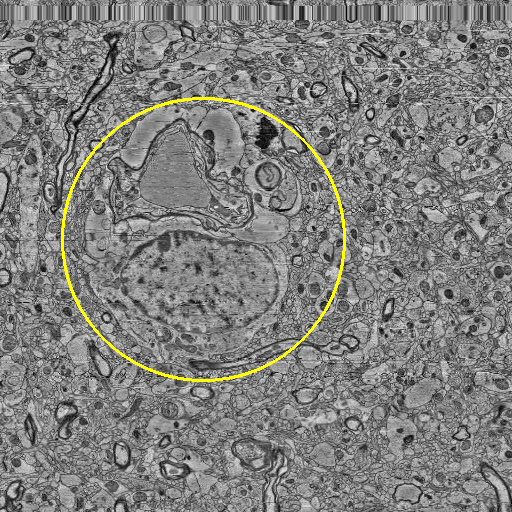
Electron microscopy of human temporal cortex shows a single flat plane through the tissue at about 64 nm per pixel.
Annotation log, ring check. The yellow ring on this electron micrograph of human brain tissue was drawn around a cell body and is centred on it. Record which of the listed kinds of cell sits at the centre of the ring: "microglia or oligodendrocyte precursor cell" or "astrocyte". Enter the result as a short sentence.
The cell at the centre of the ring is a microglial cell or oligodendrocyte precursor cell.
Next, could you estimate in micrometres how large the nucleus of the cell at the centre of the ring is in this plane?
About 10 by 7 micrometers, in this plane.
